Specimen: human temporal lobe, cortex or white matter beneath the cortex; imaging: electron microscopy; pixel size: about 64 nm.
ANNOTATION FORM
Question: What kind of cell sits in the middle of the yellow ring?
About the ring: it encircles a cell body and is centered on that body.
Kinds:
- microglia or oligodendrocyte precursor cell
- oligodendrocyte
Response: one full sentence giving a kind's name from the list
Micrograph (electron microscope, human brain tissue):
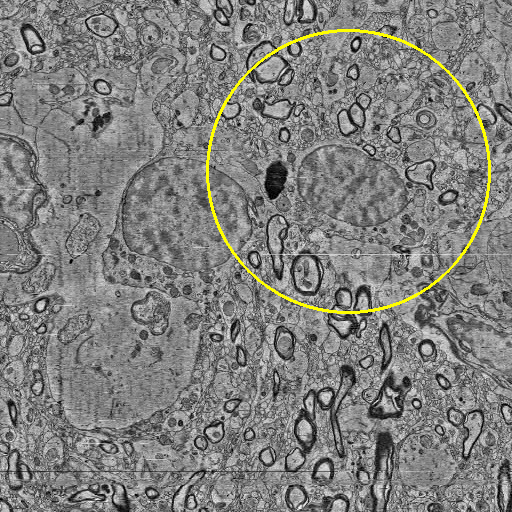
The kind of cell found at the center of the yellow ring in the micrograph is an oligodendrocyte.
